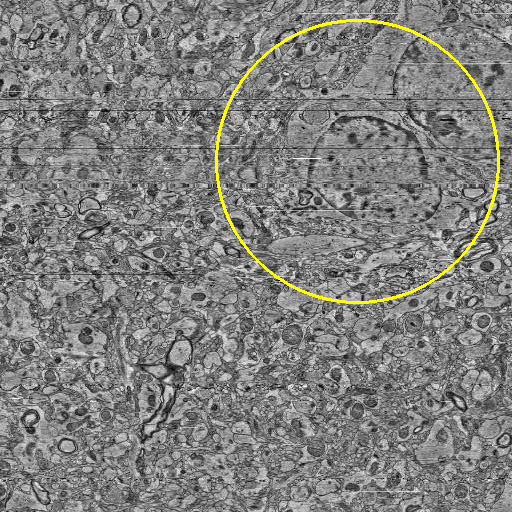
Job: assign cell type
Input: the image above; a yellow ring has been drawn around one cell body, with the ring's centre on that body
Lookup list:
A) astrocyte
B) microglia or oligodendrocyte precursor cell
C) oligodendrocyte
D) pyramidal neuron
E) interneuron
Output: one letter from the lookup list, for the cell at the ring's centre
A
